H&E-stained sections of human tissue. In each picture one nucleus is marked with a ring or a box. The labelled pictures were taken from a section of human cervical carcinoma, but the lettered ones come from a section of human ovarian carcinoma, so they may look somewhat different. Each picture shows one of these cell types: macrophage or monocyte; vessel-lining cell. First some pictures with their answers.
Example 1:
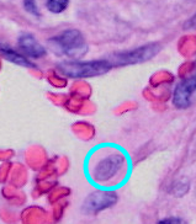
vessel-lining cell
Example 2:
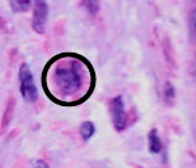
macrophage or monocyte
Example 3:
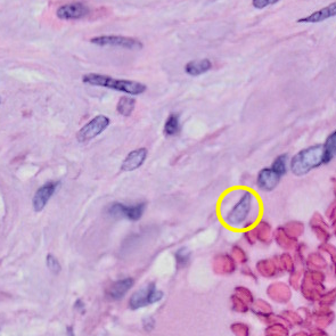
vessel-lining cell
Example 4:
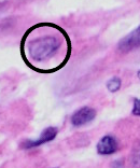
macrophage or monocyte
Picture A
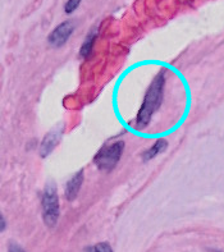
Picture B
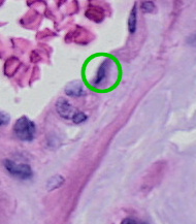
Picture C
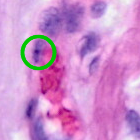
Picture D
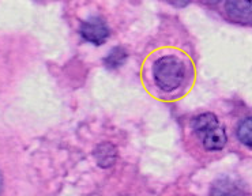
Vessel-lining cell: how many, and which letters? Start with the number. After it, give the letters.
3: A, B, C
